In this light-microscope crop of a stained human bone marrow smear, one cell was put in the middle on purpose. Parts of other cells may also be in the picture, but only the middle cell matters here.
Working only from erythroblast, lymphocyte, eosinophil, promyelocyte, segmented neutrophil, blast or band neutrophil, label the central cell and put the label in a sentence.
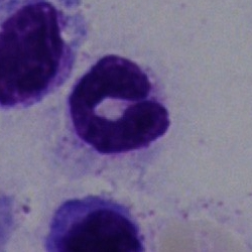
The middle cell in this particular crop is a segmented neutrophil.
